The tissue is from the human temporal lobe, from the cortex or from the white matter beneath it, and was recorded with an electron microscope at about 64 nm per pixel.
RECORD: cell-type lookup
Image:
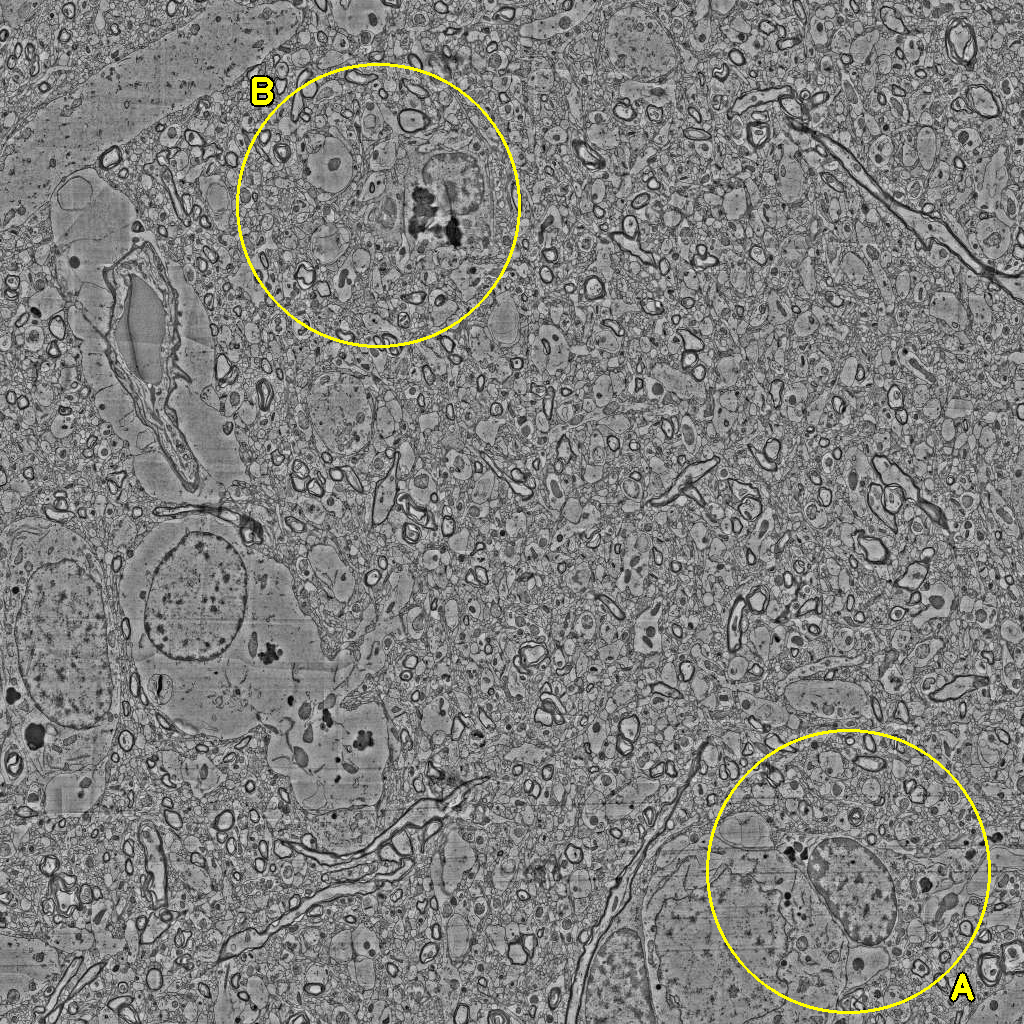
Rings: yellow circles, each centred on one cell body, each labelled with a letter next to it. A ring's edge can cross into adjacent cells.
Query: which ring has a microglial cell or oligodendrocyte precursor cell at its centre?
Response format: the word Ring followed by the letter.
Ring A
